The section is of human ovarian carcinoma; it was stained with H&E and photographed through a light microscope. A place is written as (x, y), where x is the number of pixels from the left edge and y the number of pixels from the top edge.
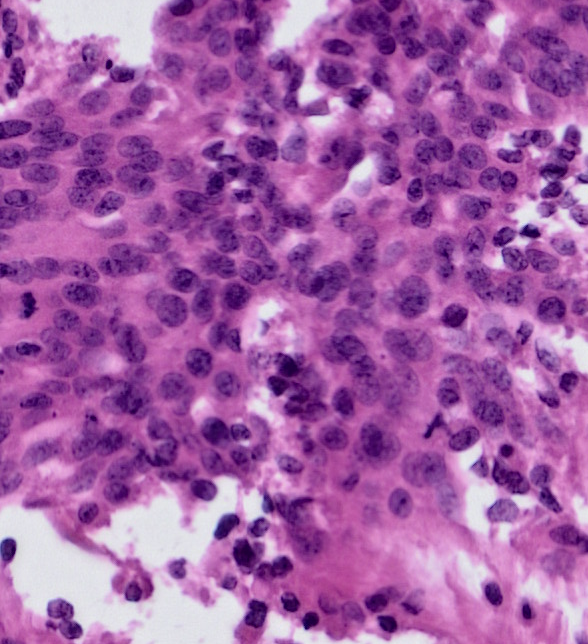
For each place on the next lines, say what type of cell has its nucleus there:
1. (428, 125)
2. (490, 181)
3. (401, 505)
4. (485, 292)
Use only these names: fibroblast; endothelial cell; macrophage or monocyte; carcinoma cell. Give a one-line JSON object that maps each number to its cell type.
{"1": "carcinoma cell", "2": "carcinoma cell", "3": "macrophage or monocyte", "4": "carcinoma cell"}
